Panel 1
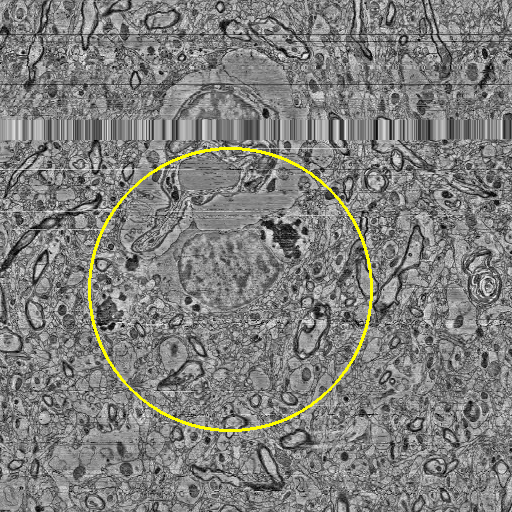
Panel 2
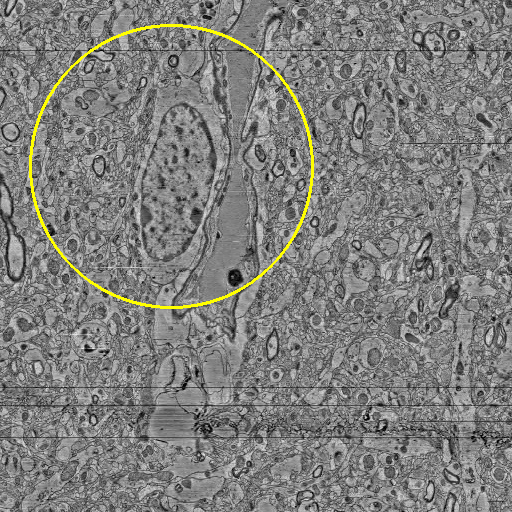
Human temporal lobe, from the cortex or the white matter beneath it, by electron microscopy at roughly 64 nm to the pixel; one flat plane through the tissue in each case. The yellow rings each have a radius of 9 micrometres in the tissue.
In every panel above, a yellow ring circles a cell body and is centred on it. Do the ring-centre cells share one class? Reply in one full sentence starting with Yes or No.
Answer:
No, the two cells at the ring centres in the panels belong to two classes.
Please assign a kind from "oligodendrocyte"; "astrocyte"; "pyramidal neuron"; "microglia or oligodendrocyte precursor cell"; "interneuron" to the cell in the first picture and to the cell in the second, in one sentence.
In the first picture we have an oligodendrocyte, and in the second, a microglial cell or oligodendrocyte precursor cell.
